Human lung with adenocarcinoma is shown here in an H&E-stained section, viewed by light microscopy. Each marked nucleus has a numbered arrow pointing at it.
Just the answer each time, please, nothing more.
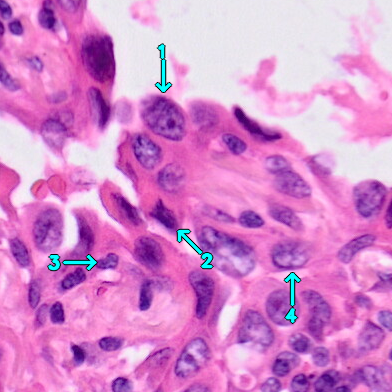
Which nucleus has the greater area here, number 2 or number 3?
2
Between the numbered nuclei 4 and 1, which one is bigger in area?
1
